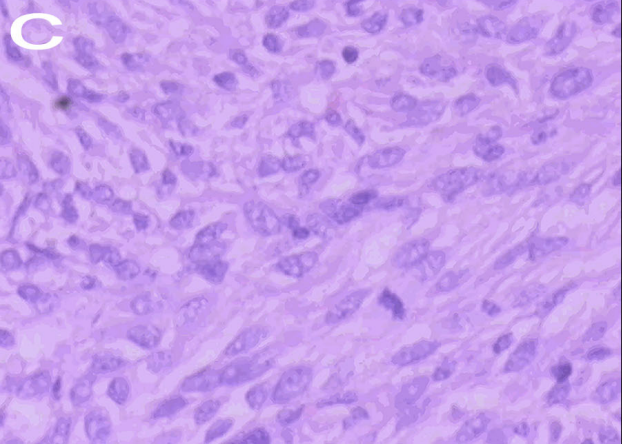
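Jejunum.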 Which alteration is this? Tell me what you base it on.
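Densely packed cells with oval to elongated nuclei. Cells arranged in streaming, interlacing bundles. No glands or epithelial structures visible.
Answer: stromal tumor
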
